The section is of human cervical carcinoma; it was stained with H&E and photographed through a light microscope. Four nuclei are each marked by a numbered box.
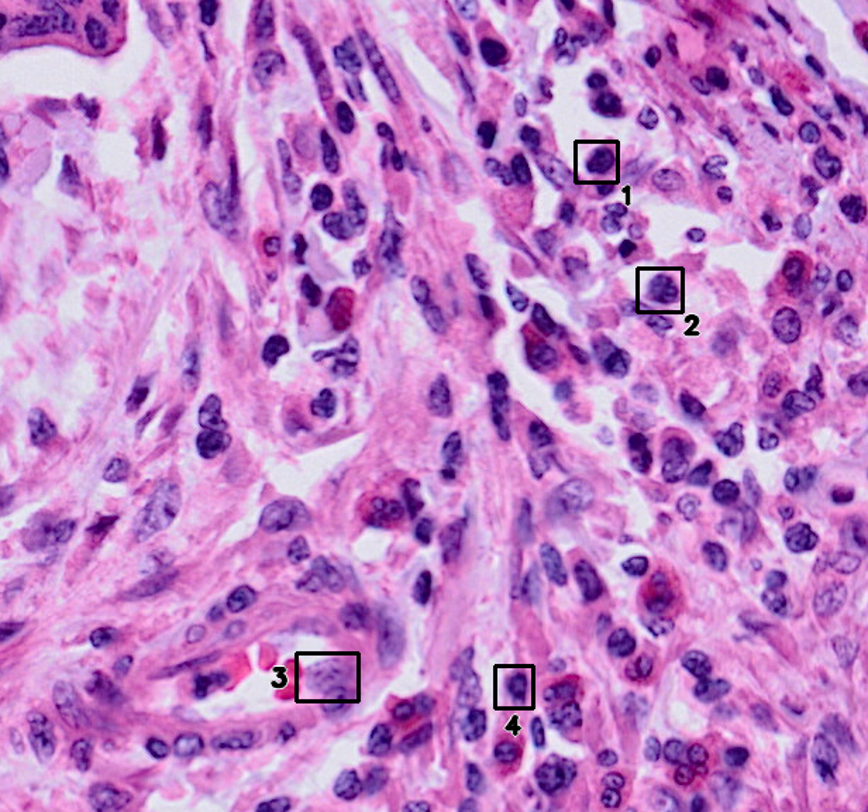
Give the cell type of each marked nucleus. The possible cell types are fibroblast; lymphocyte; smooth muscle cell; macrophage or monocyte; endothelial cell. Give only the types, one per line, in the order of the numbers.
lymphocyte
lymphocyte
endothelial cell
lymphocyte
